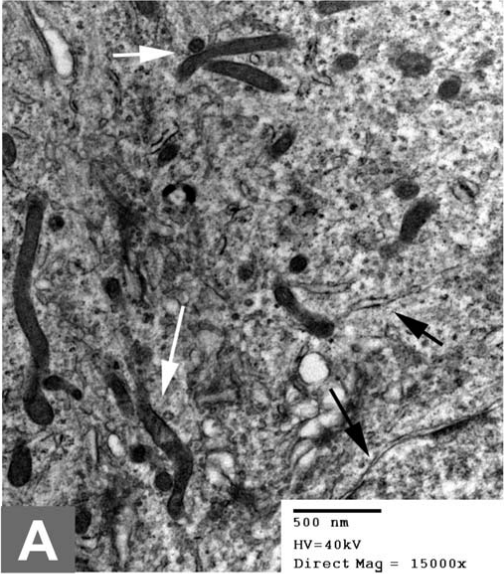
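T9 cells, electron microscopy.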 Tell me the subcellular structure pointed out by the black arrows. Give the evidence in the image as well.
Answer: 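Endoplasmic reticulum. Thin, long membrane profiles running through the cytoplasm. Narrow paired membranes without a dense interior.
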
